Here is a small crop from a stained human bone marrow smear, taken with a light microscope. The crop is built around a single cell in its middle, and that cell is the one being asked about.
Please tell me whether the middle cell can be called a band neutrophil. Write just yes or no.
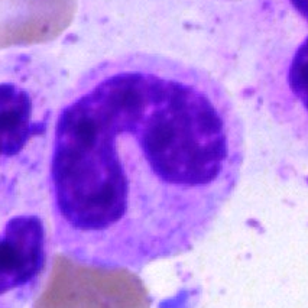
yes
